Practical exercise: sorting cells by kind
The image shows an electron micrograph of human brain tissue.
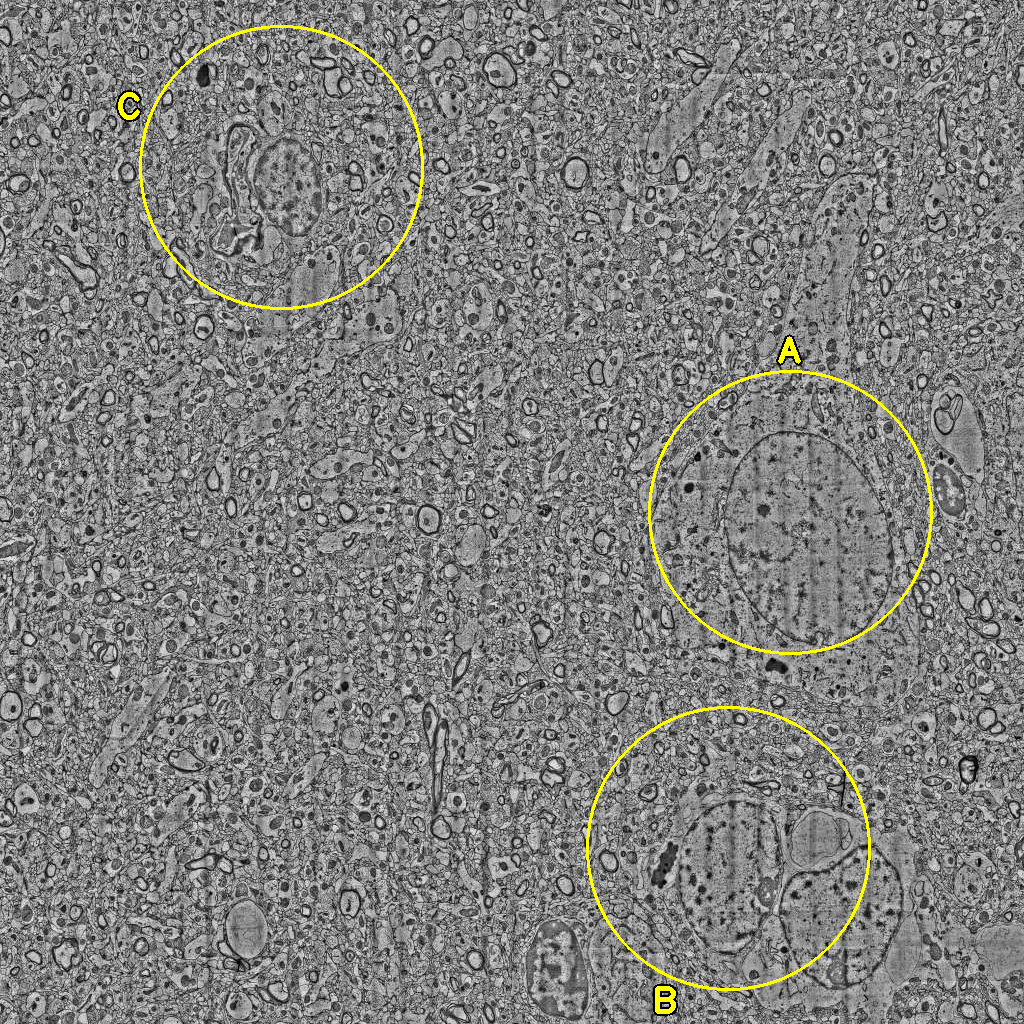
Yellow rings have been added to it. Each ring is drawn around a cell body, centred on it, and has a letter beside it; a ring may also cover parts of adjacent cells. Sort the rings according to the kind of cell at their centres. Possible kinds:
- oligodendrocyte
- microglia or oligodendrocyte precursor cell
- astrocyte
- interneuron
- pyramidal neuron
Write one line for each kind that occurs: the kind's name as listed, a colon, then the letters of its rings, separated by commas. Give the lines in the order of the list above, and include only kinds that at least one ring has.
oligodendrocyte: C
astrocyte: B
pyramidal neuron: A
